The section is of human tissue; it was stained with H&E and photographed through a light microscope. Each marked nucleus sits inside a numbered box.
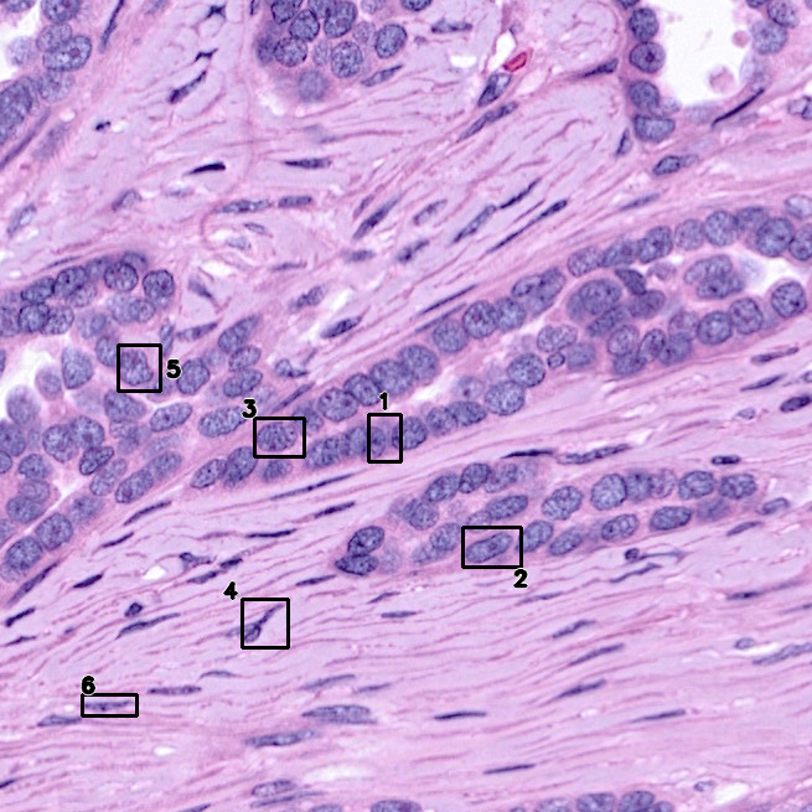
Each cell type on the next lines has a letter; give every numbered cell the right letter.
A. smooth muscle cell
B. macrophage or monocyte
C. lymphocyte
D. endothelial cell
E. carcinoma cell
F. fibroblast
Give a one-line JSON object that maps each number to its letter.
{"1": "E", "2": "E", "3": "E", "4": "F", "5": "E", "6": "F"}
